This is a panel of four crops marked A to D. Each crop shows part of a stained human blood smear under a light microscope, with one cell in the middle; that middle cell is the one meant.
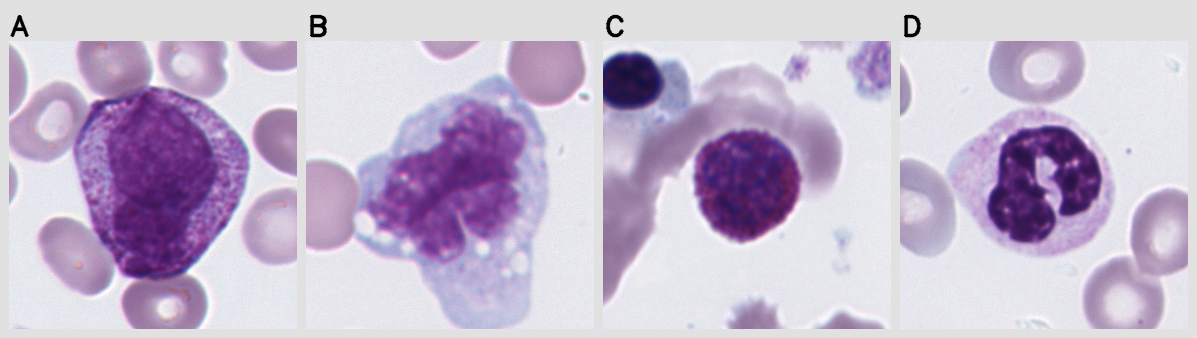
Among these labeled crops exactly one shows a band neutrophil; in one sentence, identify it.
Of these crops, it is crop D that shows a band neutrophil.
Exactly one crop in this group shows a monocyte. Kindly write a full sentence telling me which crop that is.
Among all the crops given here, the one with a monocyte is crop B.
